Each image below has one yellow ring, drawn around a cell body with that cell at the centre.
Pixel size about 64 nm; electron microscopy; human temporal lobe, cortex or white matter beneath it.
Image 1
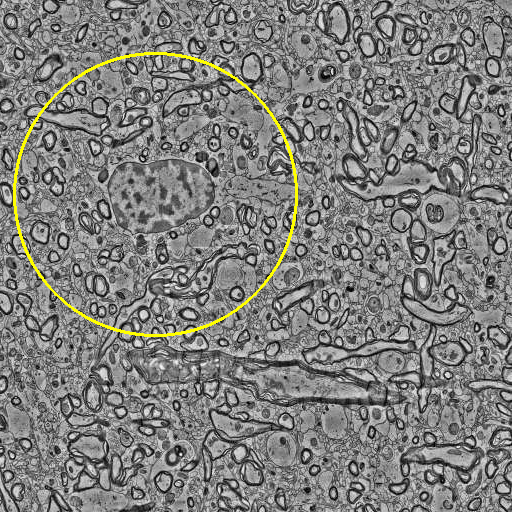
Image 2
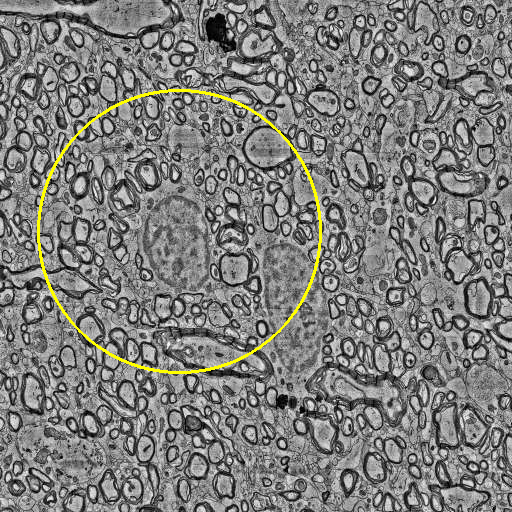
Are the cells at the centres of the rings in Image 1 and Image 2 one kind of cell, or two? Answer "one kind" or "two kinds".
two kinds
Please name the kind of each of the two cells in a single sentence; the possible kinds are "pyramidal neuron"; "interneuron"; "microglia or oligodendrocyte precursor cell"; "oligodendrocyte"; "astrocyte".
In the first picture the ring is centred on a microglial cell or oligodendrocyte precursor cell, and in the second on an oligodendrocyte.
